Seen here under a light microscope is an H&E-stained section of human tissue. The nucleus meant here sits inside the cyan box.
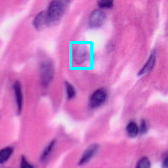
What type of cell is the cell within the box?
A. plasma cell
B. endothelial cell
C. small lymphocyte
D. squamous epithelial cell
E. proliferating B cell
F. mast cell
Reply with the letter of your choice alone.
B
